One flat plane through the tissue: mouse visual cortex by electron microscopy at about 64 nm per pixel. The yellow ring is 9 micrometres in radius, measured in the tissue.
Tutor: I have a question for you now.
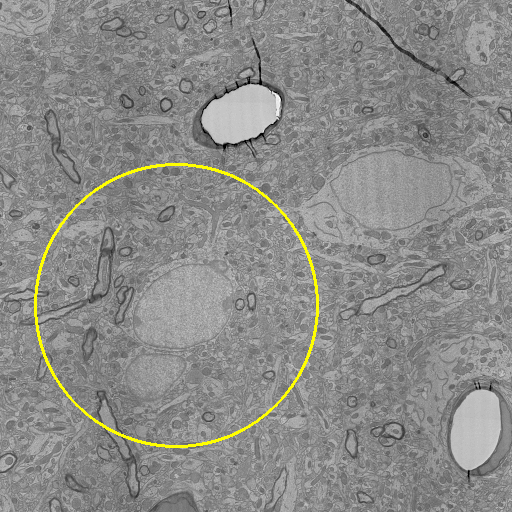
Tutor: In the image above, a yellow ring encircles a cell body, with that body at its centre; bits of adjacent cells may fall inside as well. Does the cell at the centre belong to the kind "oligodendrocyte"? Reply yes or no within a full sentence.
No, the centred cell inside the ring belongs to another kind.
